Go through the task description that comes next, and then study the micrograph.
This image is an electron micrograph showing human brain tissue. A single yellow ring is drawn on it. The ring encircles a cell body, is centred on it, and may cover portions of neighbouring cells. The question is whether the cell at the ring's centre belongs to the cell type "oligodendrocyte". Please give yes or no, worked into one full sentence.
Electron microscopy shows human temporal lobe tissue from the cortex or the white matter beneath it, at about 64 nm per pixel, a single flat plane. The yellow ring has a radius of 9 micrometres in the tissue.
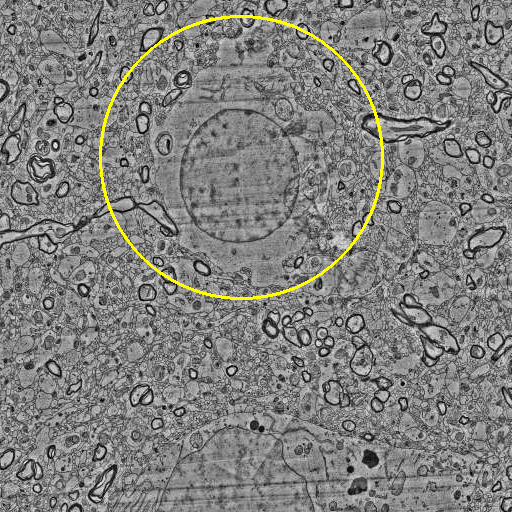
No, the cell that the ring is centred on in the micrograph is of another kind.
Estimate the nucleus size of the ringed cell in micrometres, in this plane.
About 9 by 7 micrometers for the nucleus, in this plane.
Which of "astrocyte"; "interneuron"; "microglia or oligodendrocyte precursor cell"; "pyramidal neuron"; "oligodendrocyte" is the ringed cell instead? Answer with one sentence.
Sitting at the ring centre is an astrocyte.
